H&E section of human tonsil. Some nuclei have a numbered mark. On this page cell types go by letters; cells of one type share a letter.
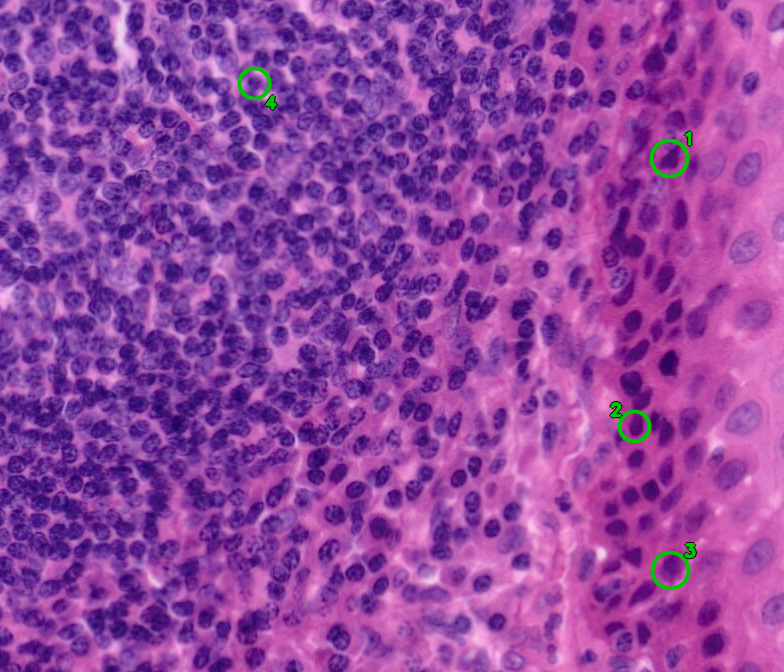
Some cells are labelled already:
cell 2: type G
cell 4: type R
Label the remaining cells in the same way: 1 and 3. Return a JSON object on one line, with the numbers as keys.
{"1": "type G", "3": "type G"}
